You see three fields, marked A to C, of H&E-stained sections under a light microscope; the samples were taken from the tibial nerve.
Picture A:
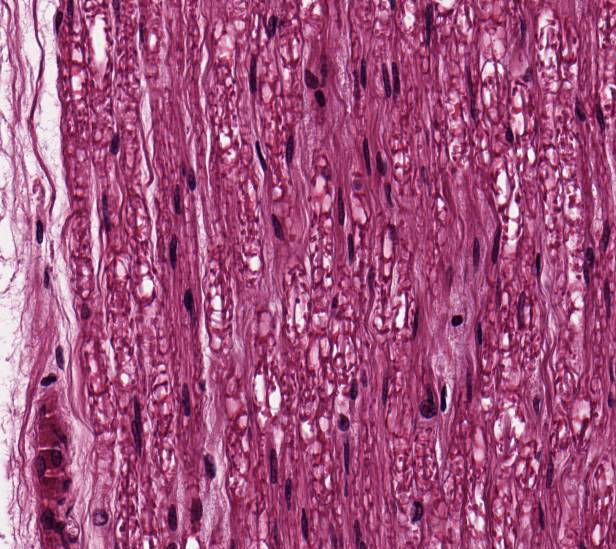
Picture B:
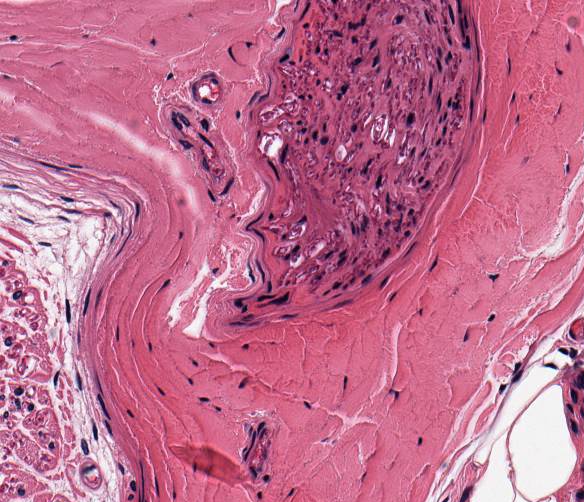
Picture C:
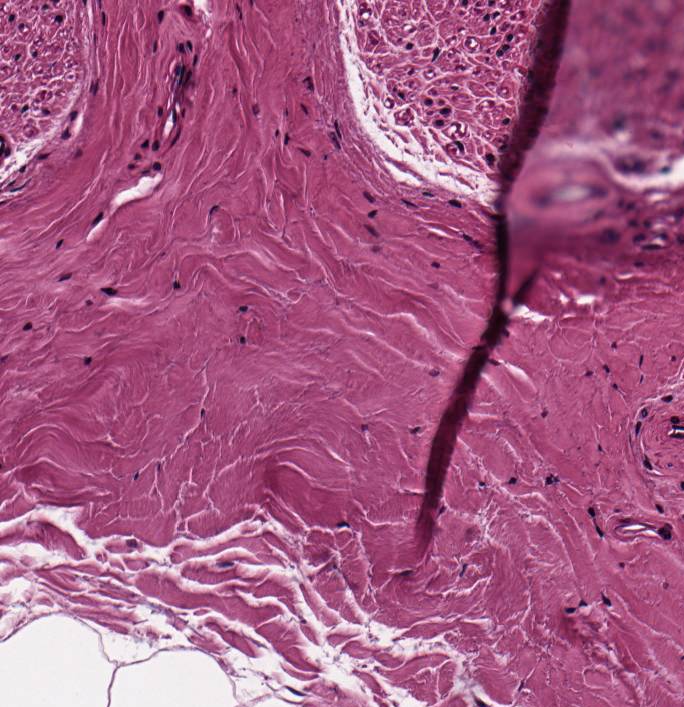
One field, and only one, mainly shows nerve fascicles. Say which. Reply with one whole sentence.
The one that mainly shows nerve fascicles is picture A.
